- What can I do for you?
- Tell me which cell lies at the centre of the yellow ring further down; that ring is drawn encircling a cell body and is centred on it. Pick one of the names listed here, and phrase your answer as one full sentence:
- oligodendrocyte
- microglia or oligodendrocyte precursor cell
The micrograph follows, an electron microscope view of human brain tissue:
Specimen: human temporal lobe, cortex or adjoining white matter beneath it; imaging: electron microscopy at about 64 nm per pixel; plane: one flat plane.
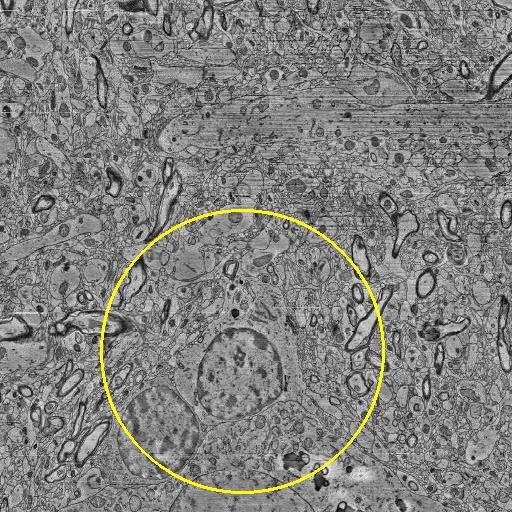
The cell whose body lies at the centre of the yellow ring is a microglial cell or oligodendrocyte precursor cell.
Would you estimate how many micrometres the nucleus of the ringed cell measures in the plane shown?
The nucleus is about 6 micrometres across in this plane.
